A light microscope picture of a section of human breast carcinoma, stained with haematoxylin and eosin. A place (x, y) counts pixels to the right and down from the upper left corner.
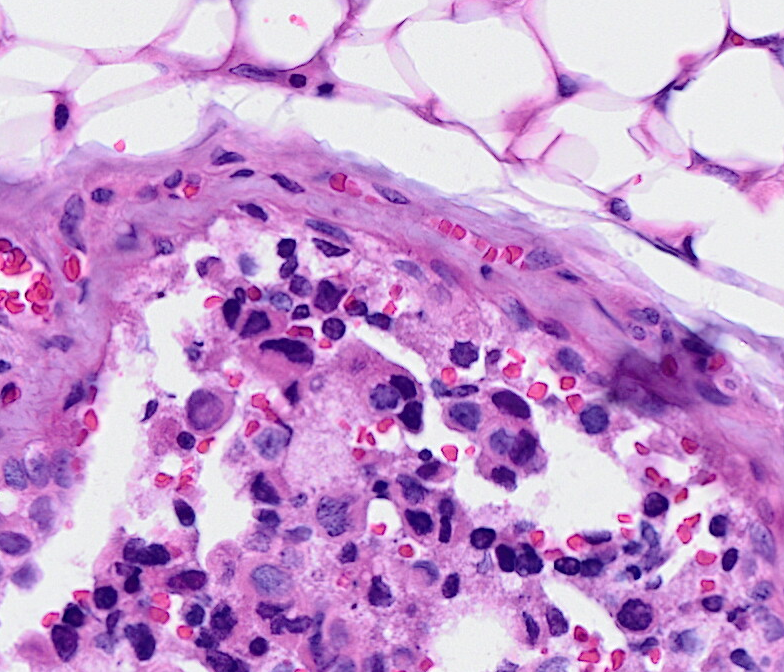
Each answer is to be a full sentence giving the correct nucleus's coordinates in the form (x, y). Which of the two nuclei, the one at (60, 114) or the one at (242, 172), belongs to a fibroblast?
Of the two nuclei, it is the one at (242, 172) that lies within a fibroblast.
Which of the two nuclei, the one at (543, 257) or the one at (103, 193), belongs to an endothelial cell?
It is the nucleus at (543, 257) that belongs to an endothelial cell.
